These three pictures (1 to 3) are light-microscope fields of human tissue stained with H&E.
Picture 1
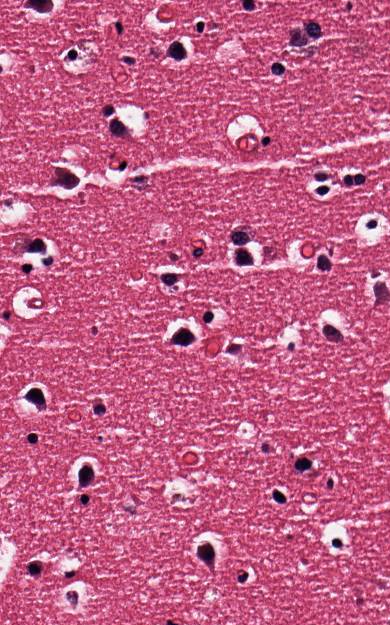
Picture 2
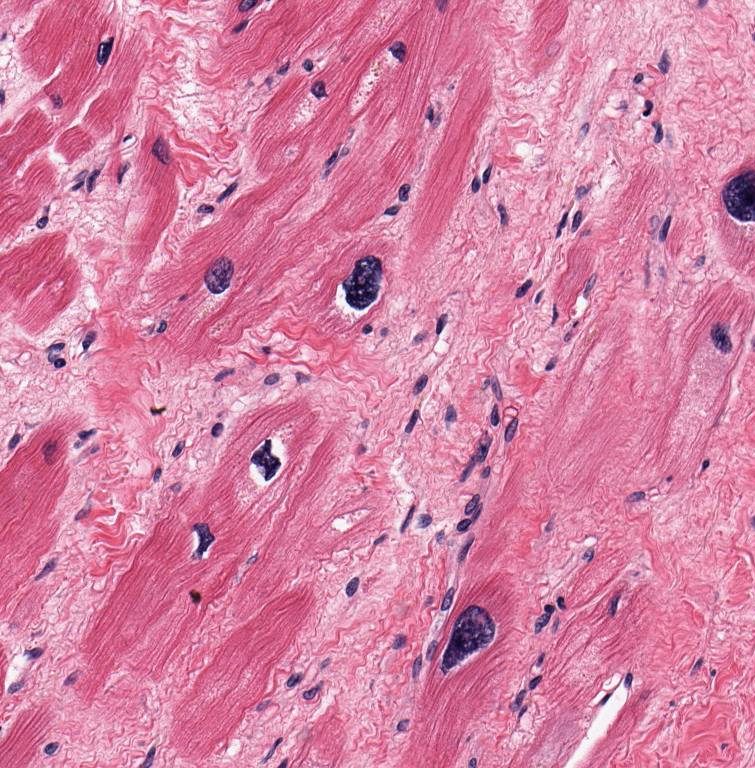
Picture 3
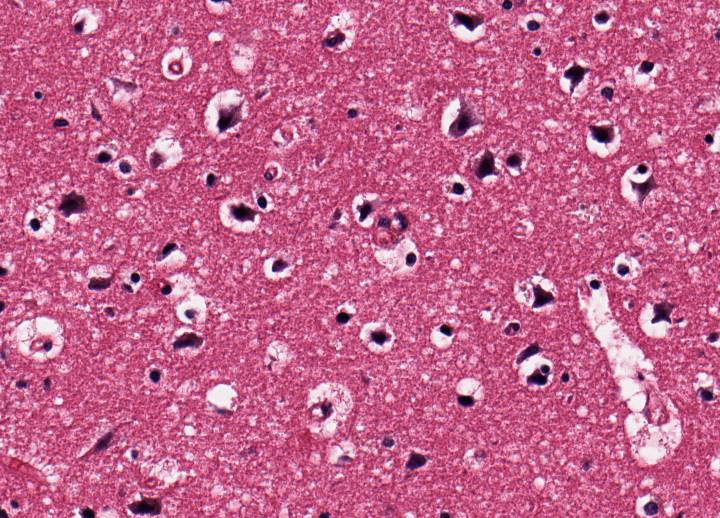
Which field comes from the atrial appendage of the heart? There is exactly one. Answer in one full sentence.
Picture 2 comes from the atrial appendage of the heart.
